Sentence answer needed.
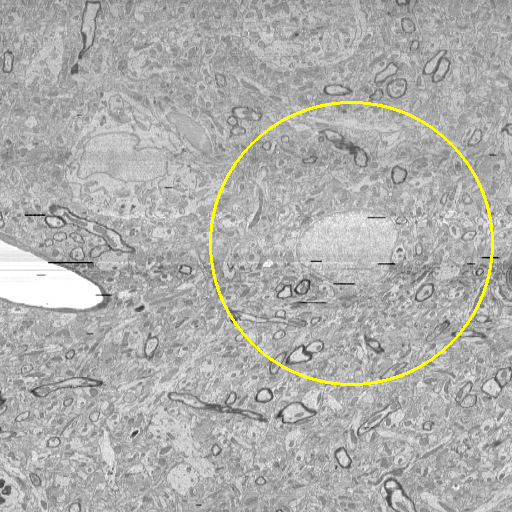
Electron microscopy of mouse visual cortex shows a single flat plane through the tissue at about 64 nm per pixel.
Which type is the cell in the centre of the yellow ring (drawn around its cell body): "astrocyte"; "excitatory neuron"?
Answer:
In the centre of the yellow ring is an astrocyte.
